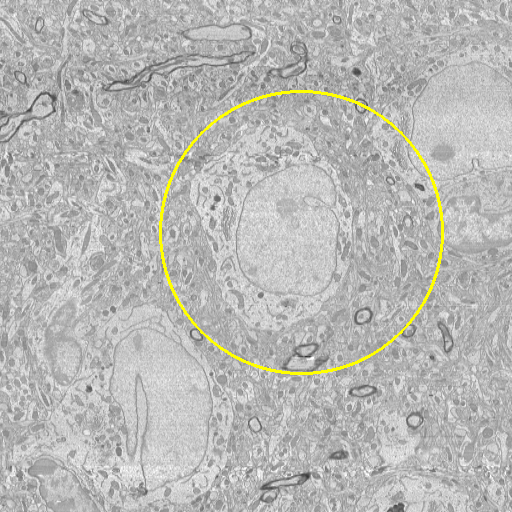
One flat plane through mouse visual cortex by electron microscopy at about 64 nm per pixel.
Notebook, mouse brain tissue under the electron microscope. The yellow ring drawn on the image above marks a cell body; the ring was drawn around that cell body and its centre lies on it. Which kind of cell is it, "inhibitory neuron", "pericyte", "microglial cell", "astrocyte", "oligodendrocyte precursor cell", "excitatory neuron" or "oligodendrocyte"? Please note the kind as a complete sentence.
The marked cell body is that of an inhibitory neuron.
